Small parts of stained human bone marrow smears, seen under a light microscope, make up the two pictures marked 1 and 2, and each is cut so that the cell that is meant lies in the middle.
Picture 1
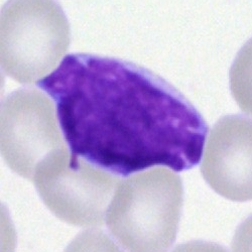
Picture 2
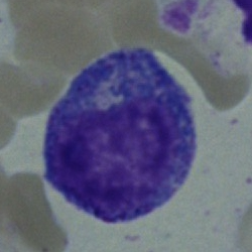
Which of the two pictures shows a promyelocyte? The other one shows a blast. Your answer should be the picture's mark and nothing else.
2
